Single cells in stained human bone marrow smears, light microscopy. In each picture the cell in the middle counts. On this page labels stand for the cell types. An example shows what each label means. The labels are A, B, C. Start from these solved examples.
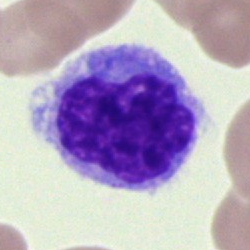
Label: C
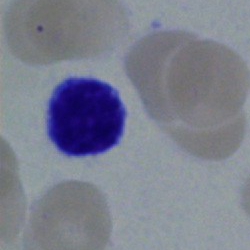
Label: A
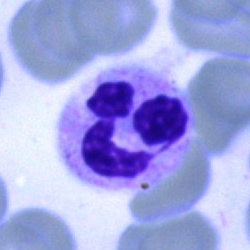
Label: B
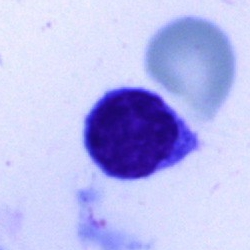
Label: A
